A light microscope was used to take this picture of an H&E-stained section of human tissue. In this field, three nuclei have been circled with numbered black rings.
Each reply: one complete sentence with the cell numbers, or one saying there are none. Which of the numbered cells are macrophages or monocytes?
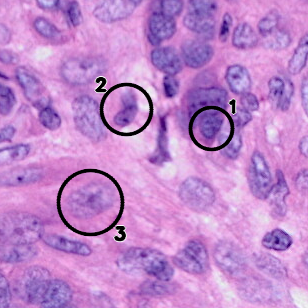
Cell 2 is a macrophage or monocyte, whereas each of the other numbered cells is not.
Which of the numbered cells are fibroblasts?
Cell 3 is a fibroblast and is the only numbered cell of that kind.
